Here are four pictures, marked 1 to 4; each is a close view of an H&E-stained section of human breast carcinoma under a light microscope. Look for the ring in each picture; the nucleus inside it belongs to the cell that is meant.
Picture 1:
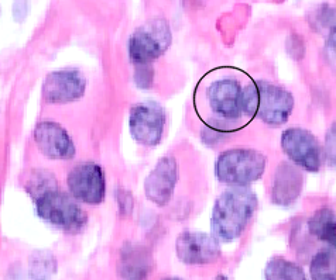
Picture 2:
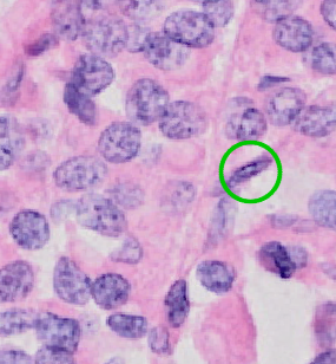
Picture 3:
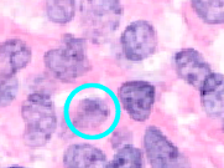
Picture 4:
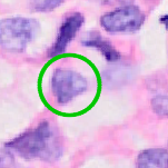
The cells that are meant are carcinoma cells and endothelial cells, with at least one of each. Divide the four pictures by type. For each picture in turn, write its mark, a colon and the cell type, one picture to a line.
1: carcinoma cell
2: endothelial cell
3: carcinoma cell
4: carcinoma cell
